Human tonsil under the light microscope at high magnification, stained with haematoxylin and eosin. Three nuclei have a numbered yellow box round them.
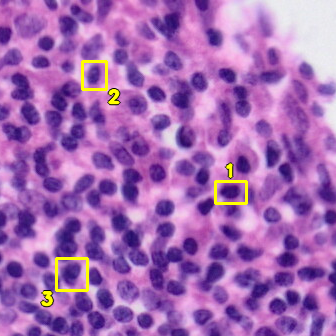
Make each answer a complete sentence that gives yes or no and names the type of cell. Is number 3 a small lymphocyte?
Yes, the number 3 belongs to a small lymphocyte.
